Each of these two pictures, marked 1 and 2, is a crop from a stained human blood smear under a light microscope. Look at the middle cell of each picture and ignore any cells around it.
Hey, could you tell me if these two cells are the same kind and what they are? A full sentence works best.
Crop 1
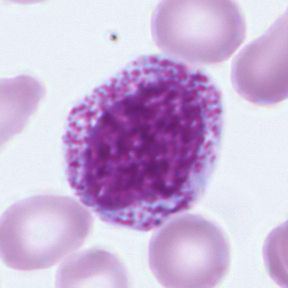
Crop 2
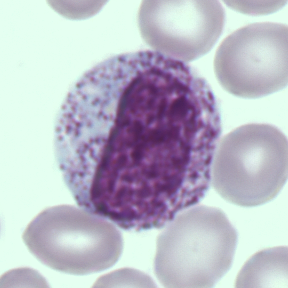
Yes, the cells that the two crops centre on are myelocytes.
